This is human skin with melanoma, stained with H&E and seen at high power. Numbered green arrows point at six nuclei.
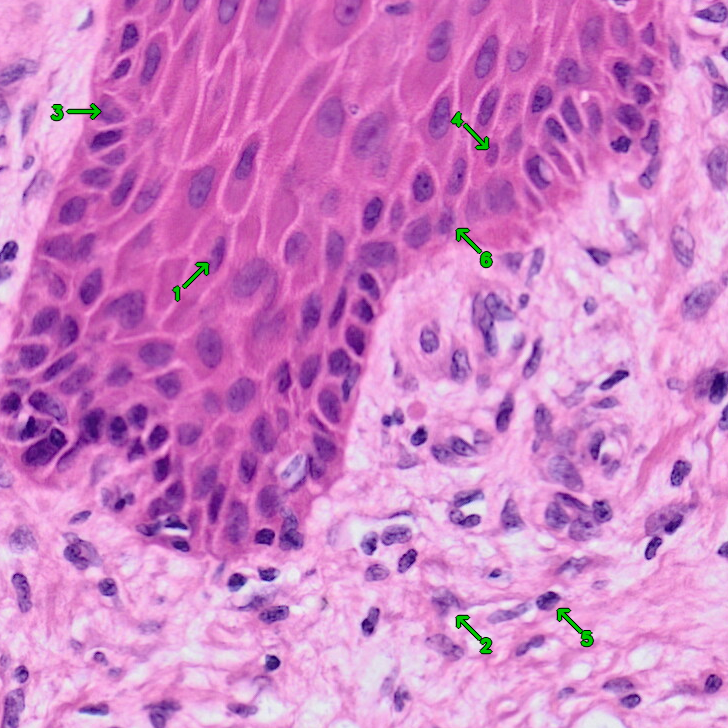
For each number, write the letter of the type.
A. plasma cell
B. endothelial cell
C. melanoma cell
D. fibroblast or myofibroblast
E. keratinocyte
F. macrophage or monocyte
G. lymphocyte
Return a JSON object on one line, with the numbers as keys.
{"1": "E", "2": "D", "3": "E", "4": "E", "5": "G", "6": "E"}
